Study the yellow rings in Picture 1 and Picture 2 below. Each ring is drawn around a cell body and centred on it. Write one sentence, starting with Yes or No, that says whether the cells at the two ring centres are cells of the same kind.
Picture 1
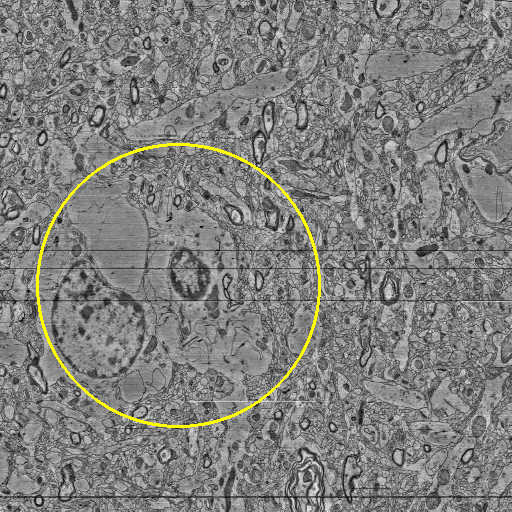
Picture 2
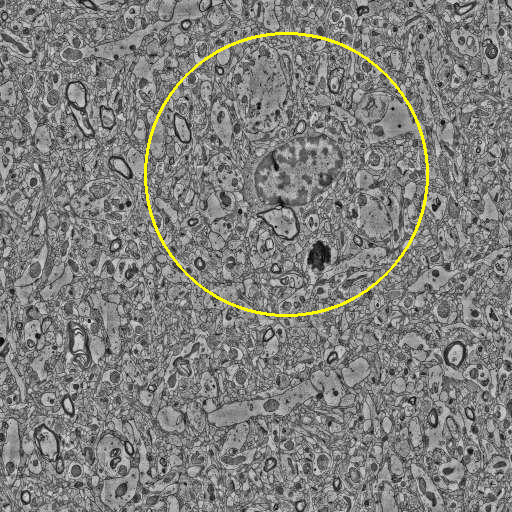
No, the cells at the ring centres are of two kinds.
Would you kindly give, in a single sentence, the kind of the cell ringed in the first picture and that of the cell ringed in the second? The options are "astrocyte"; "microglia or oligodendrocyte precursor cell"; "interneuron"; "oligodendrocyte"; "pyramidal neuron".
The second cell is an oligodendrocyte, and the first cell is an astrocyte.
